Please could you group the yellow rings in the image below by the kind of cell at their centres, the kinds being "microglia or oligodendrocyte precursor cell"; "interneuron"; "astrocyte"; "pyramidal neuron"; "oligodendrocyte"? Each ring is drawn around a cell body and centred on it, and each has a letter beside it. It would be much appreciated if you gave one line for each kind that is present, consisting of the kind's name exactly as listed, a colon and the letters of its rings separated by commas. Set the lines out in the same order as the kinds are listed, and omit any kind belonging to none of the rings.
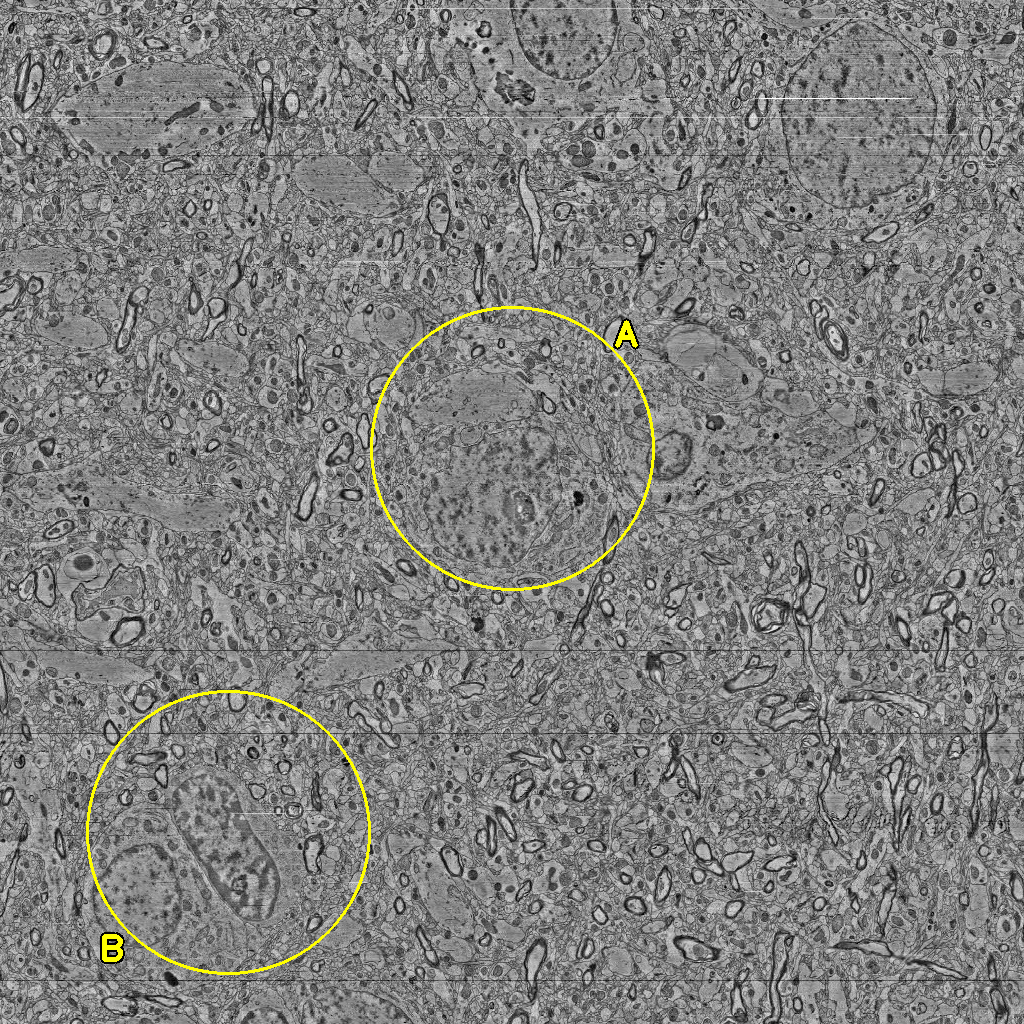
interneuron: A
oligodendrocyte: B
